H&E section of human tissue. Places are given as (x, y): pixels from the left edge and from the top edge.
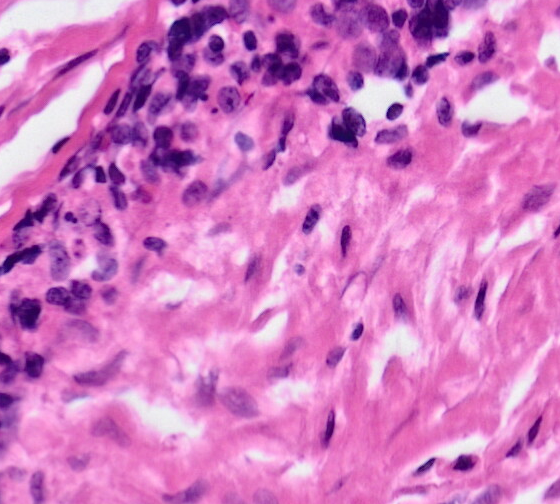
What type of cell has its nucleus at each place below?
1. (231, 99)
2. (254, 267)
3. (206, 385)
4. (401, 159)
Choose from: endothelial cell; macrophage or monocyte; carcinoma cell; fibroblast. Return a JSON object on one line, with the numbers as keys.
{"1": "macrophage or monocyte", "2": "fibroblast", "3": "fibroblast", "4": "fibroblast"}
